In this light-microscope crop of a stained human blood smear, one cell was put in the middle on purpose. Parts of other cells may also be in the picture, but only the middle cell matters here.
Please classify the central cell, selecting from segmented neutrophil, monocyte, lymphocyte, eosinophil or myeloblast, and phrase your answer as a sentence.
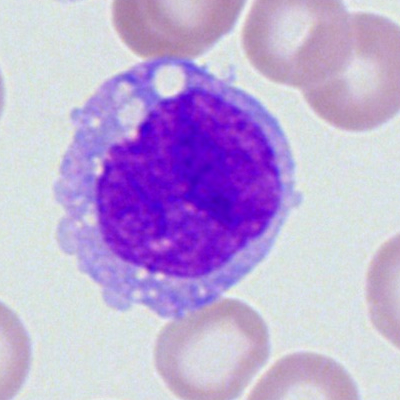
The middle cell in this particular crop is a monocyte.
